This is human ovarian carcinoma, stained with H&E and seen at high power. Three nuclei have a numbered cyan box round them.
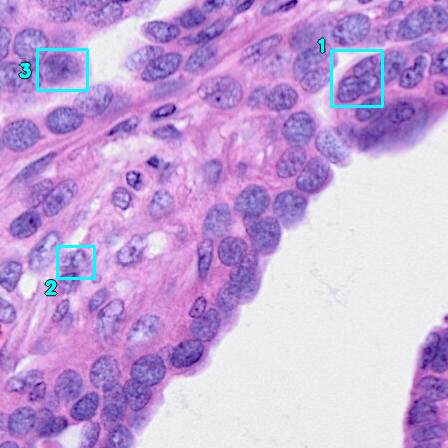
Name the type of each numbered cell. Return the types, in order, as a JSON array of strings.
["carcinoma cell", "fibroblast", "carcinoma cell"]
